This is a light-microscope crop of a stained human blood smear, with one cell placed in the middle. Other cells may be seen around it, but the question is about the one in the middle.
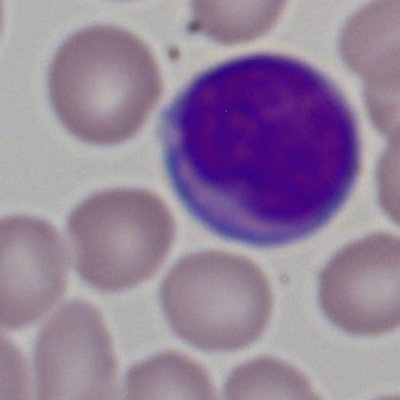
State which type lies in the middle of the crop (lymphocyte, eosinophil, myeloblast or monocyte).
myeloblast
